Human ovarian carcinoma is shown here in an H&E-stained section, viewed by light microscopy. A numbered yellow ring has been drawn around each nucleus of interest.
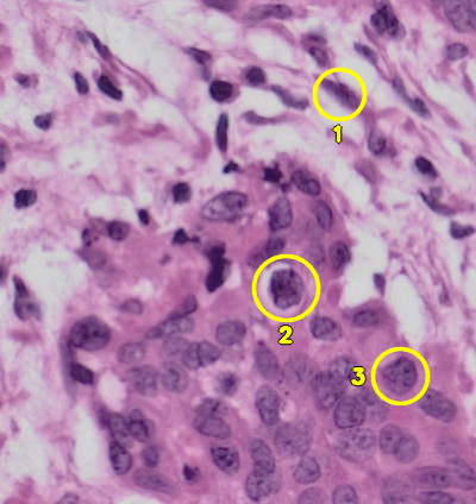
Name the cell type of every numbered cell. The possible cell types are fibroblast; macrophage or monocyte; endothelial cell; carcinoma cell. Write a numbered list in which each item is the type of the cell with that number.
1. fibroblast
2. carcinoma cell
3. carcinoma cell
